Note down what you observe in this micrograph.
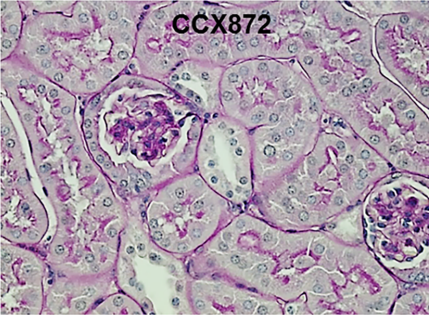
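This is kidney cortex at high power with glomeruli whose capillary tufts fill a thin-walled Bowman's capsule, leaving a narrow clear space around them. The surrounding tubules are closely packed and lined by cuboidal cells with round nuclei and pink cytoplasm, with open lumens and thin interstitium between them.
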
